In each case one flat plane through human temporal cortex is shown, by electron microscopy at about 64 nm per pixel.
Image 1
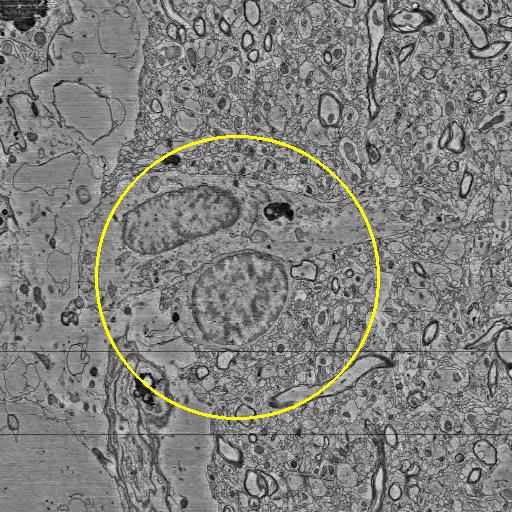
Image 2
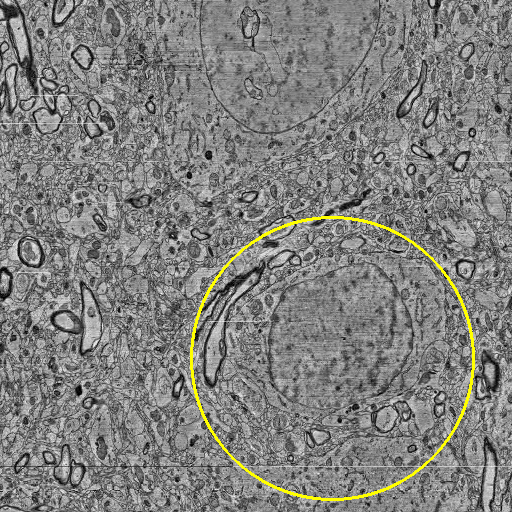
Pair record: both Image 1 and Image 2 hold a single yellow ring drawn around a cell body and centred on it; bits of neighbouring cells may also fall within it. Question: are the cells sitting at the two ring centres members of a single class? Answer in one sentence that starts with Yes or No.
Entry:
No, the ring-centre cells in Image 1 and Image 2 come from two classes.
